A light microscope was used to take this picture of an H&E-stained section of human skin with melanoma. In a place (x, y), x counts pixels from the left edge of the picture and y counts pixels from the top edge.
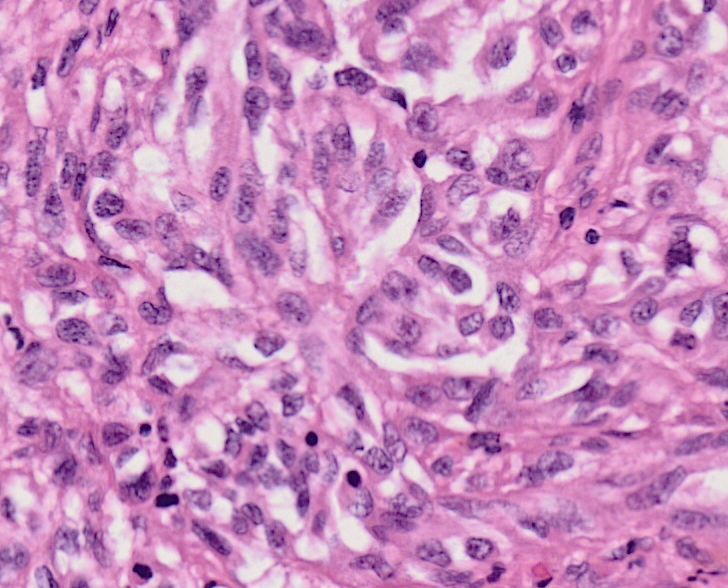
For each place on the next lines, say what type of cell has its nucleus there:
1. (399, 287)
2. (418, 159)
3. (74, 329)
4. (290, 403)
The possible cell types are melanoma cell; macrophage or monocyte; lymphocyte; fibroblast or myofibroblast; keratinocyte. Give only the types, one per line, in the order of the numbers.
melanoma cell
lymphocyte
melanoma cell
melanoma cell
